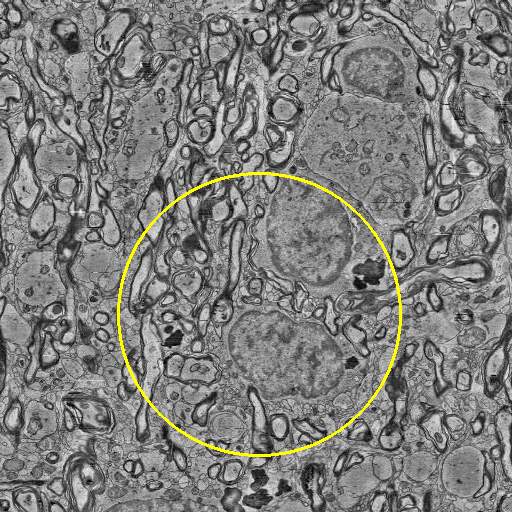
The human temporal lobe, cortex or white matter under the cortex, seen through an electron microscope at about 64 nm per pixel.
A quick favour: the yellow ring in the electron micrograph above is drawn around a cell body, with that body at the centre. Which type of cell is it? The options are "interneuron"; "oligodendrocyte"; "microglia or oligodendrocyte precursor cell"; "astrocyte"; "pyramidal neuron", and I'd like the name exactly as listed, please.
oligodendrocyte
